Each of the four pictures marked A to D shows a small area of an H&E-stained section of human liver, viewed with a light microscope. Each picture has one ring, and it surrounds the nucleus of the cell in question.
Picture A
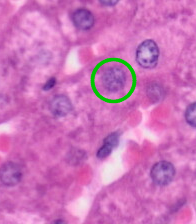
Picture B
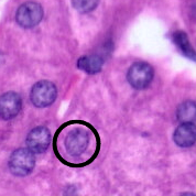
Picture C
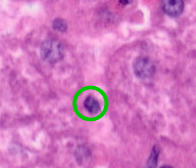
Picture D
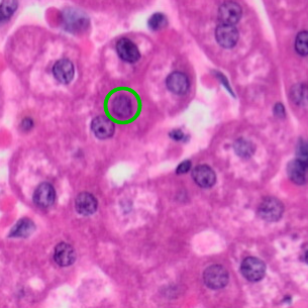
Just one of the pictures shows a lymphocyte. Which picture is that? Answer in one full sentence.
Picture C is the one that shows the lymphocyte.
